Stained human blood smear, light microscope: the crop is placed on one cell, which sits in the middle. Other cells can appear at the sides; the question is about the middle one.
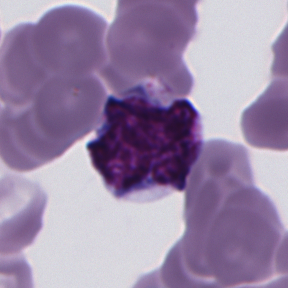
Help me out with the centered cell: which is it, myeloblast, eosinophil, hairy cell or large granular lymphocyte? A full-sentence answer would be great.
The cell occupying the middle of the crop is a myeloblast.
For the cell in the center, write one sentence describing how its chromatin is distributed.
Heads up, the chromatin in this one is coarsely clumped.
